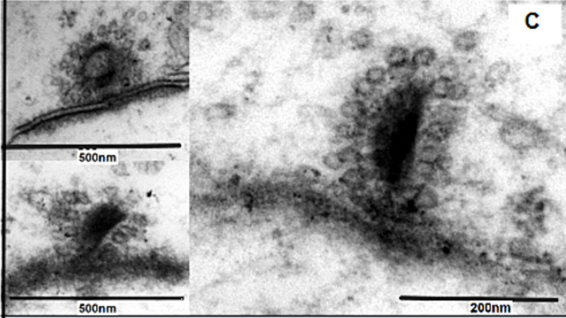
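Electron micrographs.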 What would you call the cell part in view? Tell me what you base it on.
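An elongated electron-dense body stands perpendicular to the cell membrane. Small round vesicles are ringed around the dense body. The dense body is anchored at a thickened membrane. The answer: ribbon synapses.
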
